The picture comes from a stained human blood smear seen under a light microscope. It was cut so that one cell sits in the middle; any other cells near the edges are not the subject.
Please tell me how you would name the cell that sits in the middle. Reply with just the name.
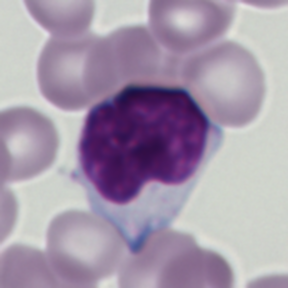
large granular lymphocyte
